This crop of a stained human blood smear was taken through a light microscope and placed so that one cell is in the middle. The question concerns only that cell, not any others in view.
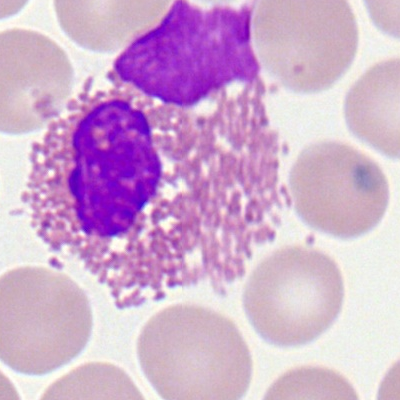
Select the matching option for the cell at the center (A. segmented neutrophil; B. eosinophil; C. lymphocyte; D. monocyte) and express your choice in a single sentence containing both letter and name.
As the central cell is an eosinophil, option B is correct.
